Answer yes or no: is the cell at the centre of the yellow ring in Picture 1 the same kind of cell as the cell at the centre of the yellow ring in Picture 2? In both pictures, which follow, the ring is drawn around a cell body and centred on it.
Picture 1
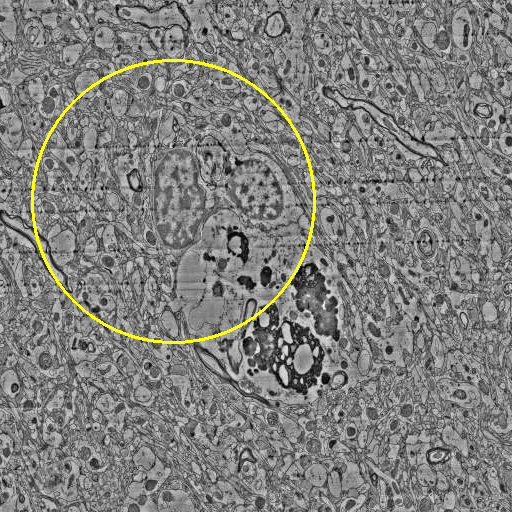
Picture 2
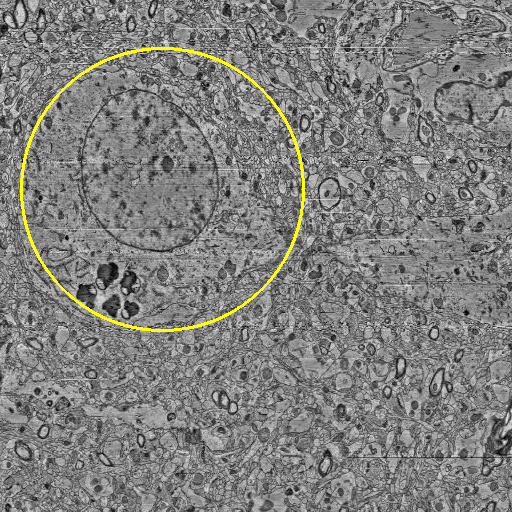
no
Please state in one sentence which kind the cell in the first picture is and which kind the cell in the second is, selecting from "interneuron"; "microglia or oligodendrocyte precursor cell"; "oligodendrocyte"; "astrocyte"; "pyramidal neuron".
The first ringed cell is an oligodendrocyte, the second ringed cell a pyramidal neuron.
